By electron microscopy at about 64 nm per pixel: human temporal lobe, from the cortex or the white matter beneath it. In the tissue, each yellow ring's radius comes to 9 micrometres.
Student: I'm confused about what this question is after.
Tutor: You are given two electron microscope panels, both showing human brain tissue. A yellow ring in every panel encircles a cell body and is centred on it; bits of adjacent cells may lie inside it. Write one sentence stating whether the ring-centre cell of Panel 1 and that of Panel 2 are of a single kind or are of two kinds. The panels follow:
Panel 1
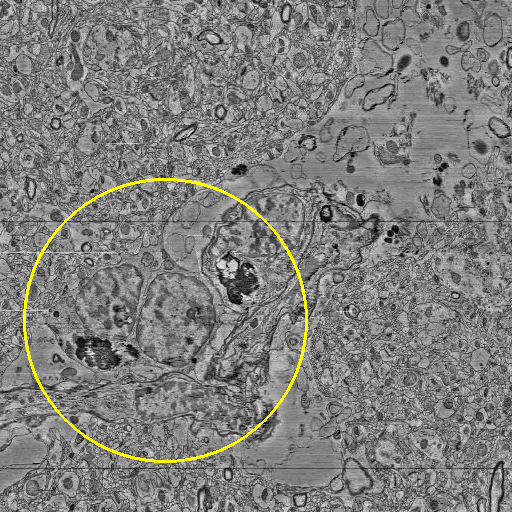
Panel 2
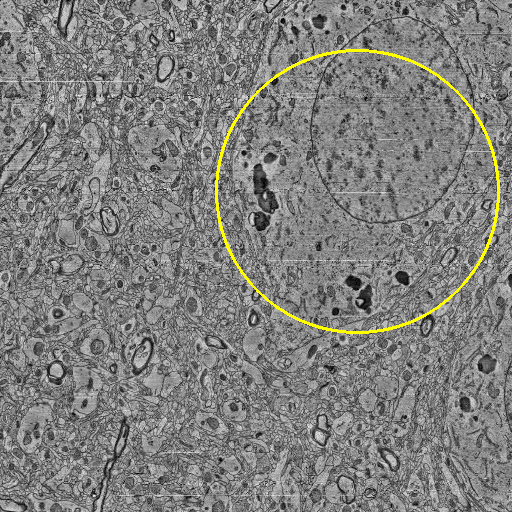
Here, the Panel 1 ring-centre cell and the Panel 2 ring-centre cell are of two kinds.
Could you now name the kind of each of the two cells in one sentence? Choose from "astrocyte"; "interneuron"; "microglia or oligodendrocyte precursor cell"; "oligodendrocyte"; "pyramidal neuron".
The first ring encloses an oligodendrocyte; the second ring encloses a pyramidal neuron.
